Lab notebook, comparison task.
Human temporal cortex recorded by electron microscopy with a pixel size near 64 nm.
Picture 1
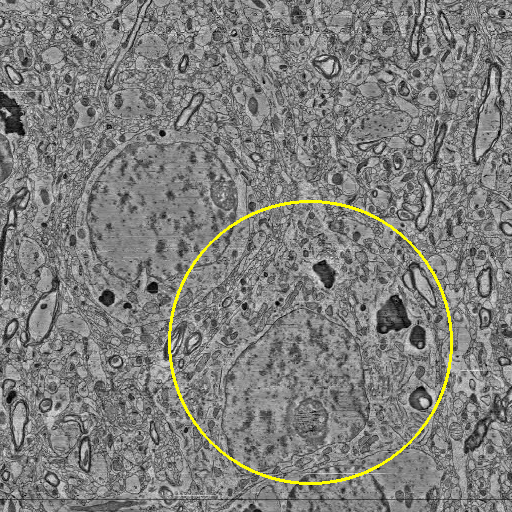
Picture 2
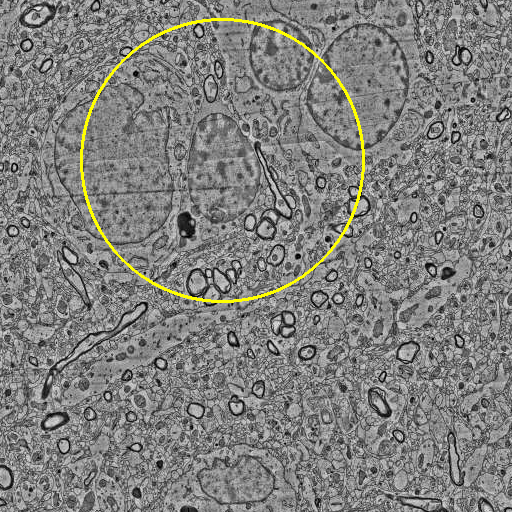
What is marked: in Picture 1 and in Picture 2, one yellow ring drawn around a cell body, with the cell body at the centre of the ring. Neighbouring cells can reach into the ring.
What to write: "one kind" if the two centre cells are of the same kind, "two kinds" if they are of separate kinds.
two kinds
